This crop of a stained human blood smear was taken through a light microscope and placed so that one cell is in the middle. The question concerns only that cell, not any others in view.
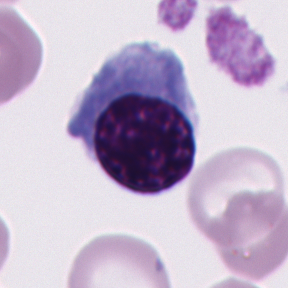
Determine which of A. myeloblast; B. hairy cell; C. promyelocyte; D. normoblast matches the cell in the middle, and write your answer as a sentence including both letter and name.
The cell in the middle is a normoblast, and so option D is correct.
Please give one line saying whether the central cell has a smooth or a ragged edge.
This cell has an uneven outline, either ragged or bearing projections.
